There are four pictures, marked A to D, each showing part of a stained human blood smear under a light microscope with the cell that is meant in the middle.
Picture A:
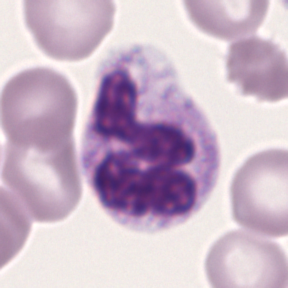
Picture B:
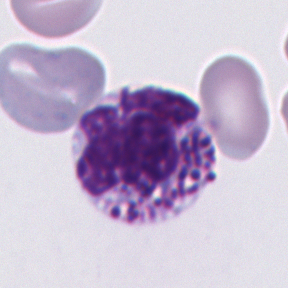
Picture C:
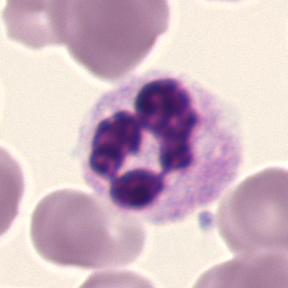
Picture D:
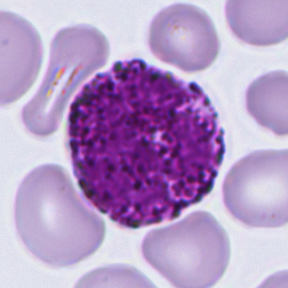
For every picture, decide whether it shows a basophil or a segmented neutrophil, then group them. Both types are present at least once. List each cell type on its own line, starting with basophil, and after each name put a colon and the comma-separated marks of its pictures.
basophil: B, D
segmented neutrophil: A, C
